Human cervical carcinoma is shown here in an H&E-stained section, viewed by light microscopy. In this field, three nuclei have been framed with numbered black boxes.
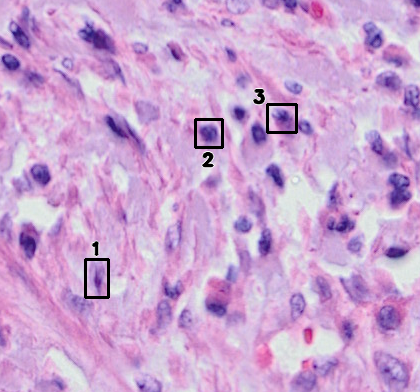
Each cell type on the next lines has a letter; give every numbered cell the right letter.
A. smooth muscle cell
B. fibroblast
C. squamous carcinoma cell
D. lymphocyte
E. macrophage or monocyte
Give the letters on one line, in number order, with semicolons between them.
B; D; D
